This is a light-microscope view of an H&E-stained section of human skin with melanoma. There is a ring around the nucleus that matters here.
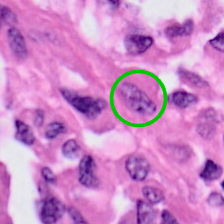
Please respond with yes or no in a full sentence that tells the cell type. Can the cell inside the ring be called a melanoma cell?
Yes, calling the cell inside the ring a melanoma cell is correct.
